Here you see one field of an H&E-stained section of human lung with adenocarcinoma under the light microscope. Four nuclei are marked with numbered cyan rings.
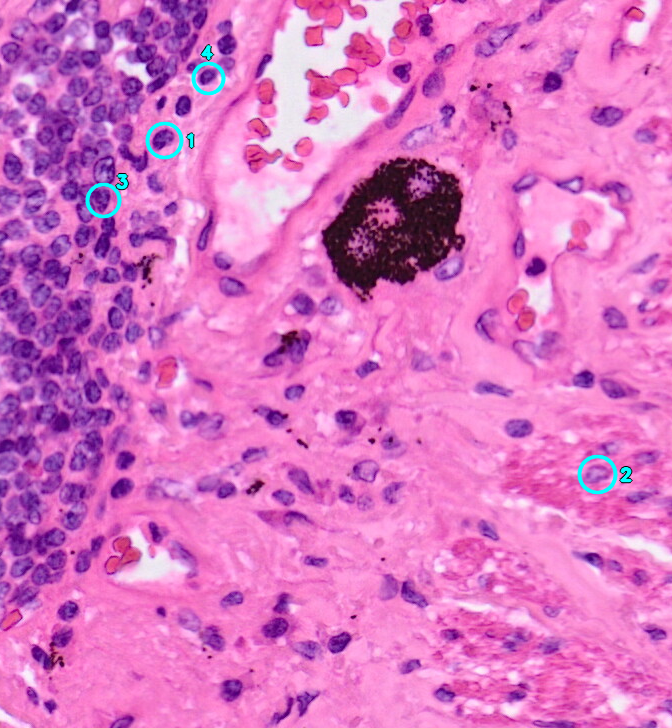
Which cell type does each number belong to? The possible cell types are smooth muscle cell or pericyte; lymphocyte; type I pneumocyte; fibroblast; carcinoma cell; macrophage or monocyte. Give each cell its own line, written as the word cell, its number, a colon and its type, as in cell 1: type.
cell 1: lymphocyte
cell 2: smooth muscle cell or pericyte
cell 3: lymphocyte
cell 4: lymphocyte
